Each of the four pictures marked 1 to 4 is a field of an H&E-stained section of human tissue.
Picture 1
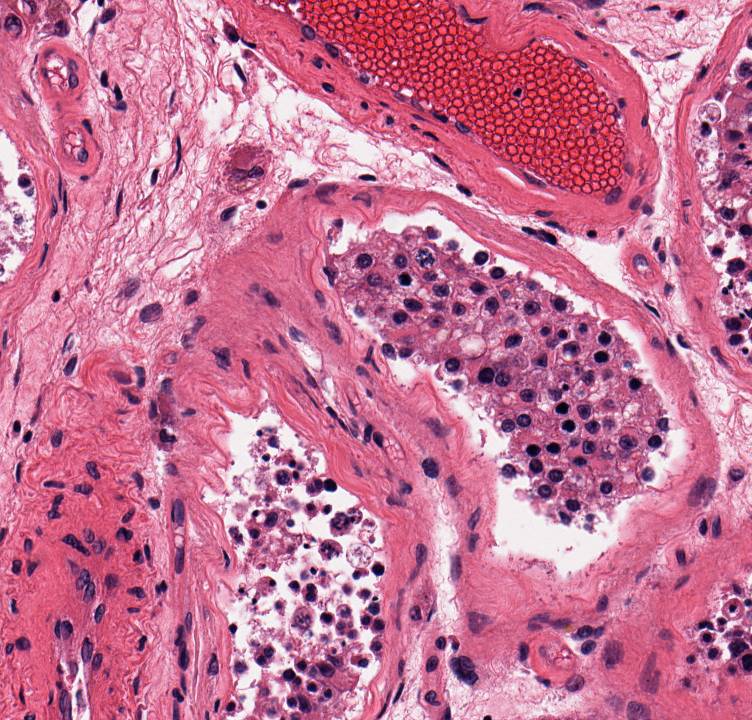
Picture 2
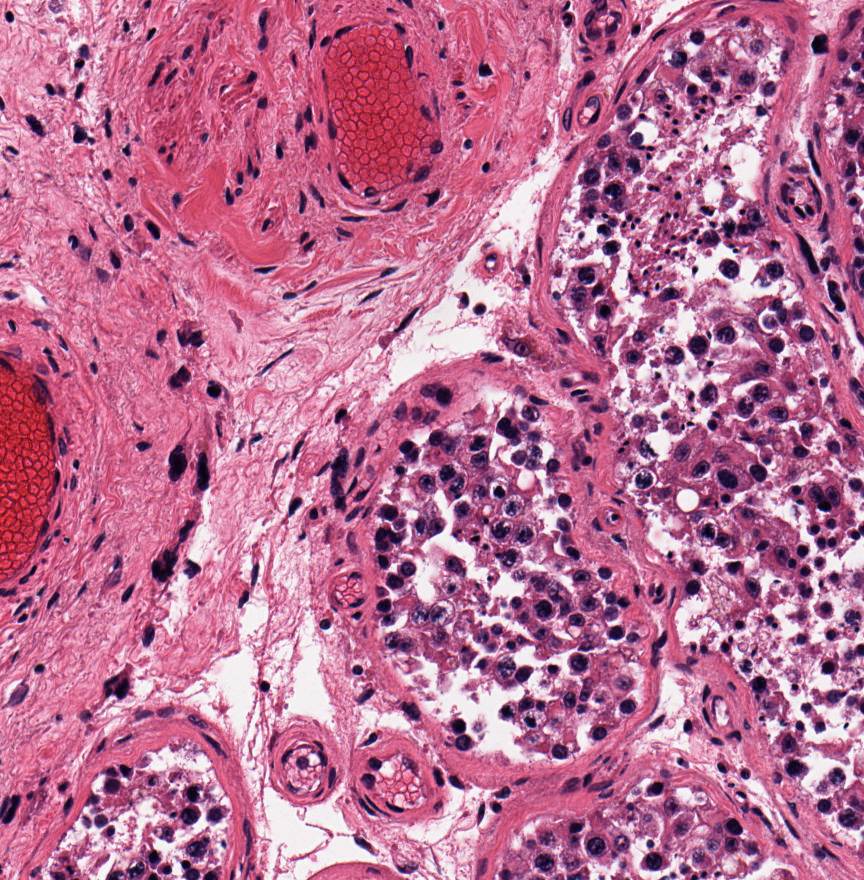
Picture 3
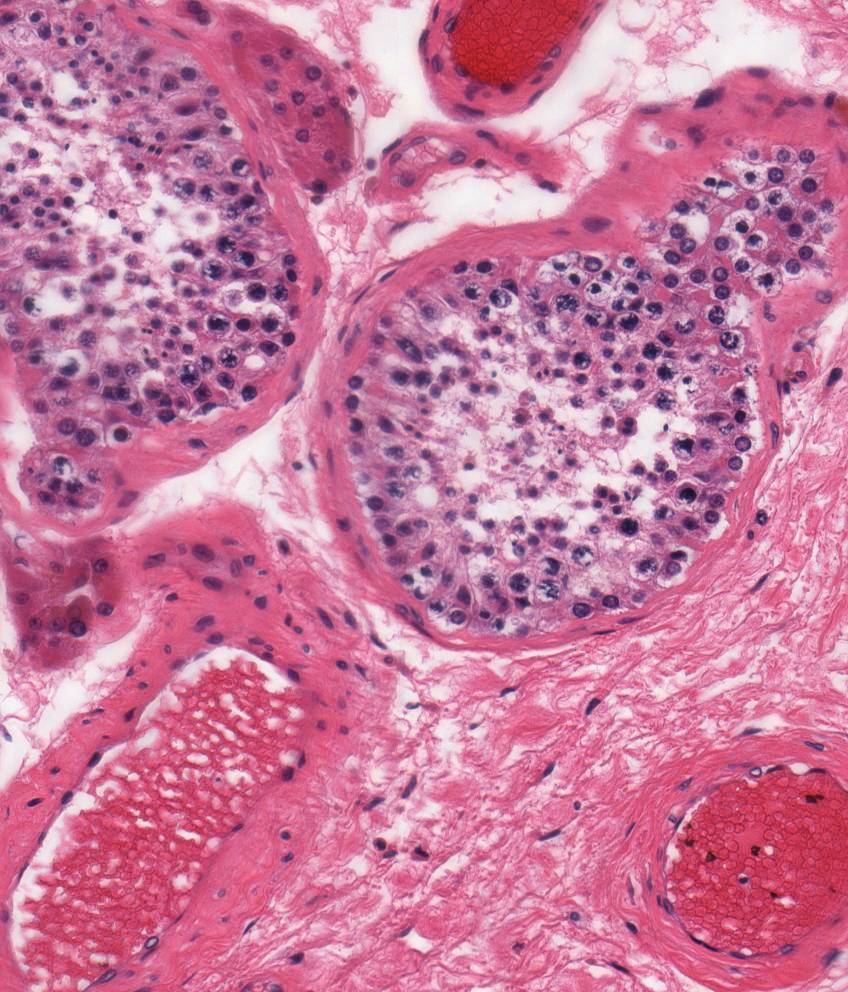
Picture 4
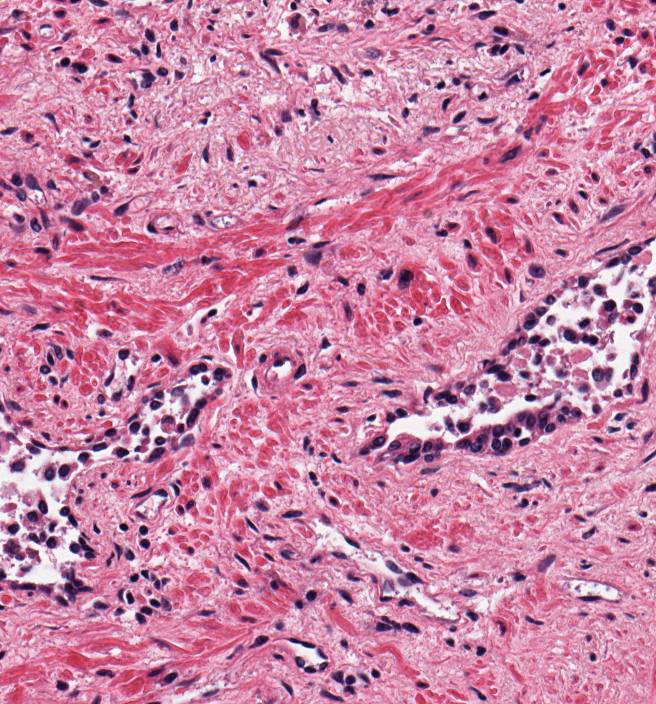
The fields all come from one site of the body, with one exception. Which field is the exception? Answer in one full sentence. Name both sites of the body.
Picture 4 is the odd one out: it comes from the prostate, while the others come from the testis.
